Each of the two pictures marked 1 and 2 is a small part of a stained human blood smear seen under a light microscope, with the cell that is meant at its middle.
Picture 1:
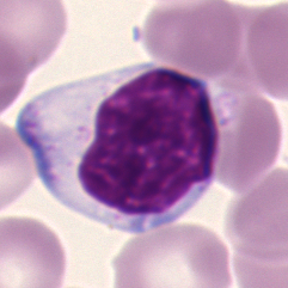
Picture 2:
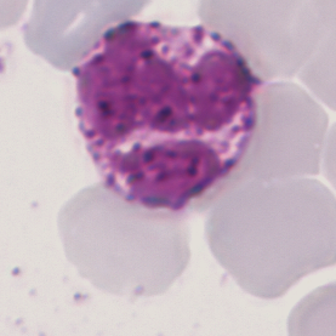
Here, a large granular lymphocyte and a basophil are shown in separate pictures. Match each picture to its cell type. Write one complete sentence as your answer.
Picture 1 shows a large granular lymphocyte and picture 2 shows a basophil.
